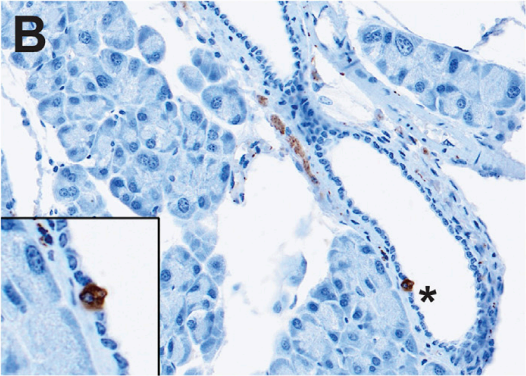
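The ducts have wide open lumens and are surrounded by a thin band of loose connective tissue with elongated nuclei. Clusters of acinar cells with round nuclei and pale blue cytoplasm lie at the edges. One small, rounded brown cell sits in the duct wall, shown enlarged in the inset; further faint brown material lies in the connective tissue between ducts. All other cells are counterstained blue.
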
